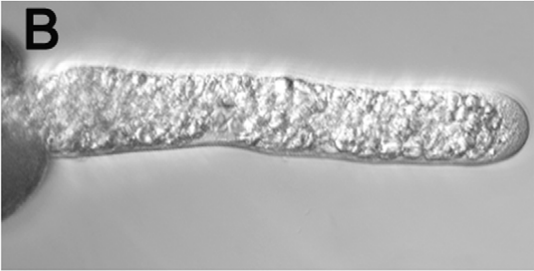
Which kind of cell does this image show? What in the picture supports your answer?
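Pollen tubes. A long, narrow, cylindrical tube with a rounded tip. Granular cytoplasm fills the tube with a clearer zone at the tip. The tube emerges from a darker body at the left edge.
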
